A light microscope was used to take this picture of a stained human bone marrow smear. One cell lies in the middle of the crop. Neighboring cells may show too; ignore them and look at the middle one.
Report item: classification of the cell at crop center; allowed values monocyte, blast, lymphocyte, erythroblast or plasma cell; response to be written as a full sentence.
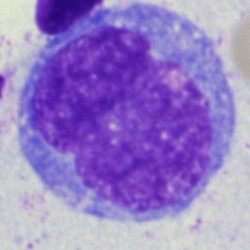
Classification of the middle cell gives a monocyte.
